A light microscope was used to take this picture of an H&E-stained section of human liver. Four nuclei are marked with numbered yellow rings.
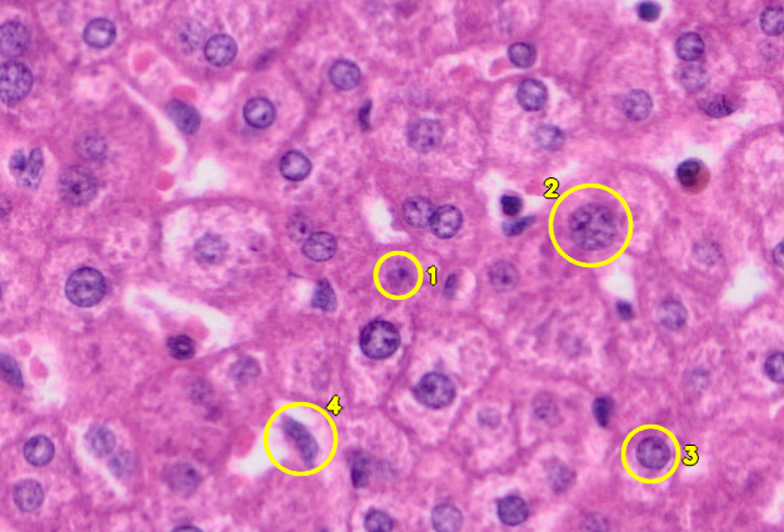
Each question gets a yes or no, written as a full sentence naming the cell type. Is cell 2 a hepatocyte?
Yes, so the cell at label 2 is a hepatocyte.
